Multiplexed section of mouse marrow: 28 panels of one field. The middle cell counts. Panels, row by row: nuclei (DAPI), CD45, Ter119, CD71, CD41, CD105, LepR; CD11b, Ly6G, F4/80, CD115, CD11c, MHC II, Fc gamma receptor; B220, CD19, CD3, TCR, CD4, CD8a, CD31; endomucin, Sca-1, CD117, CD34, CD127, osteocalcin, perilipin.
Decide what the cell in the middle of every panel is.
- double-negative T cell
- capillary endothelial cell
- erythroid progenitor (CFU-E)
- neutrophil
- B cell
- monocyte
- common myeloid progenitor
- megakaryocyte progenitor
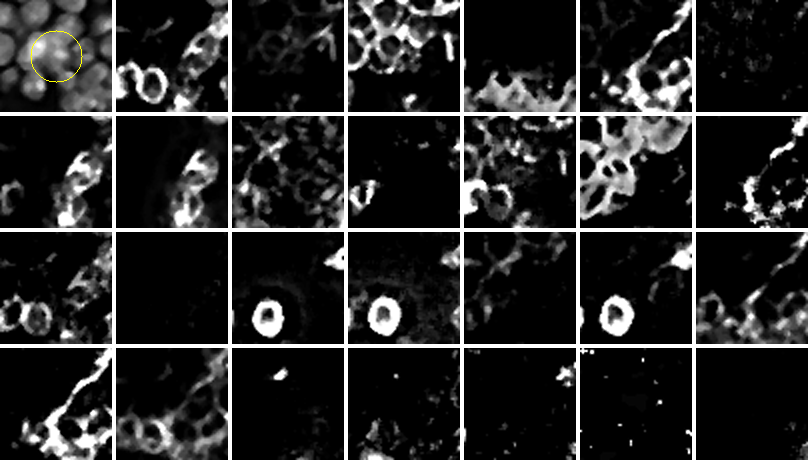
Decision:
capillary endothelial cell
